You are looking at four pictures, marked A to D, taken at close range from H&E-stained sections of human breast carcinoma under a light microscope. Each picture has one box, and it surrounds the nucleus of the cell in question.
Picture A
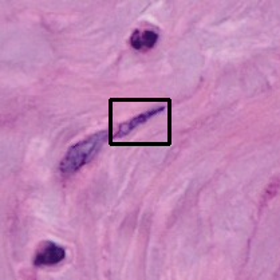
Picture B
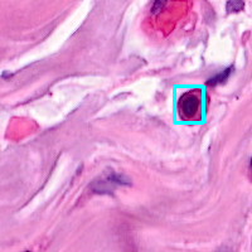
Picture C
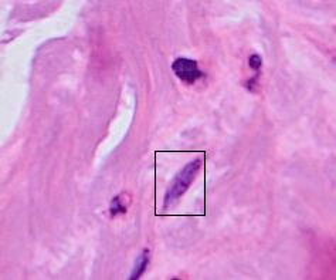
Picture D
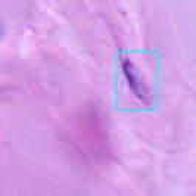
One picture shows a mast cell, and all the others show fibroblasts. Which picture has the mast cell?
B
